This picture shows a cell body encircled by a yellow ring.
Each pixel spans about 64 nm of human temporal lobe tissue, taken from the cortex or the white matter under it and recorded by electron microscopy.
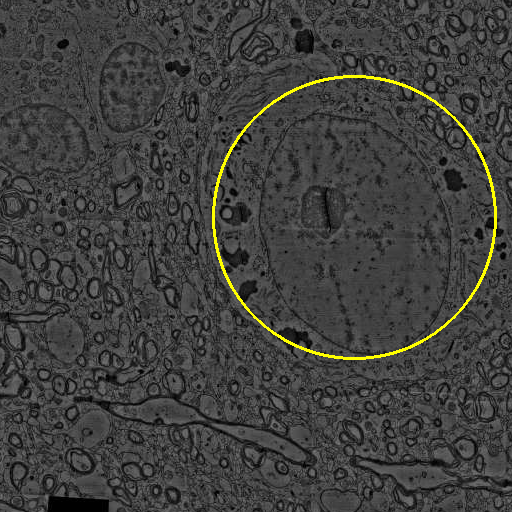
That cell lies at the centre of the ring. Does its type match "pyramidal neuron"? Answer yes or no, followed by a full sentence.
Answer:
Yes, in the picture, the ring surrounds a cell of that type at its centre.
